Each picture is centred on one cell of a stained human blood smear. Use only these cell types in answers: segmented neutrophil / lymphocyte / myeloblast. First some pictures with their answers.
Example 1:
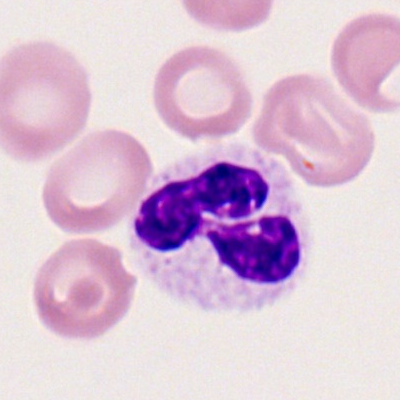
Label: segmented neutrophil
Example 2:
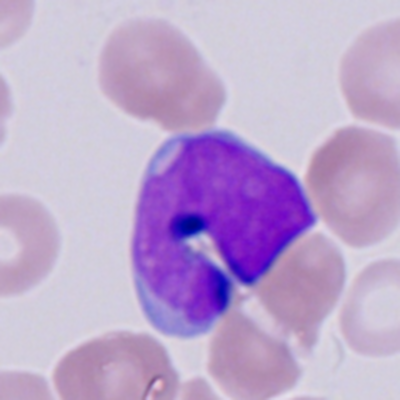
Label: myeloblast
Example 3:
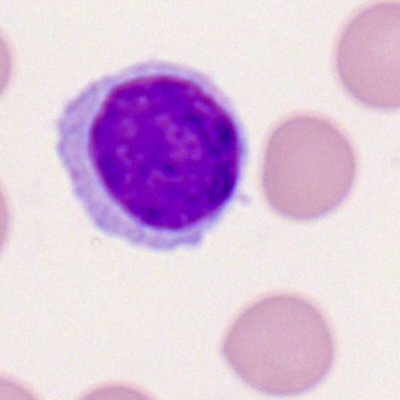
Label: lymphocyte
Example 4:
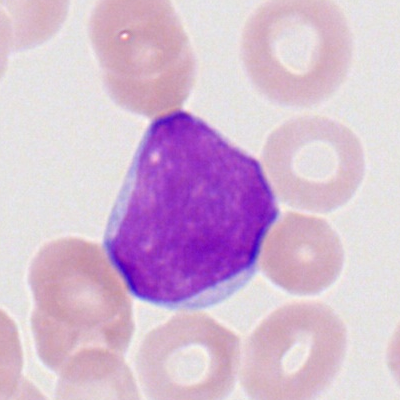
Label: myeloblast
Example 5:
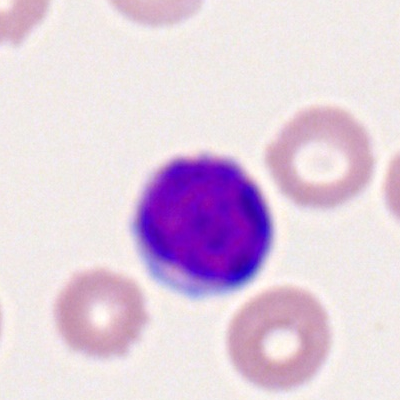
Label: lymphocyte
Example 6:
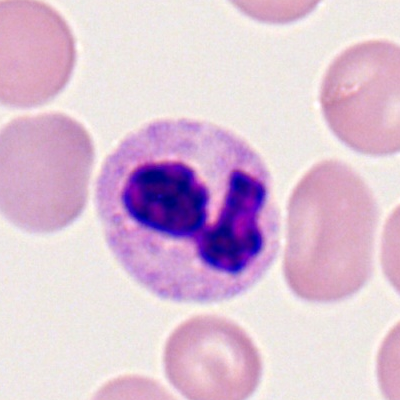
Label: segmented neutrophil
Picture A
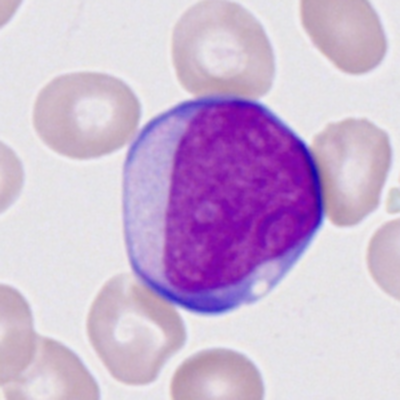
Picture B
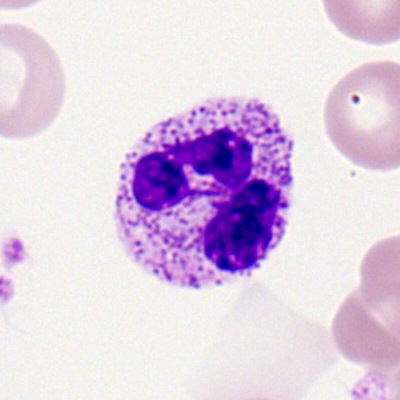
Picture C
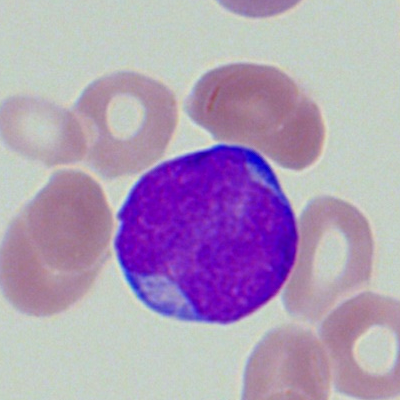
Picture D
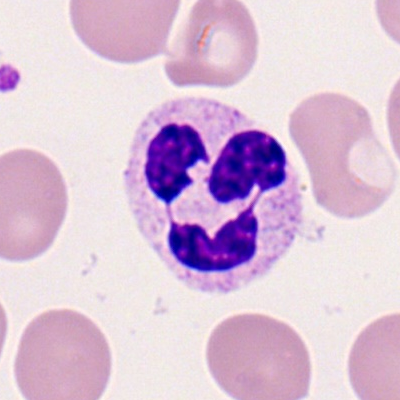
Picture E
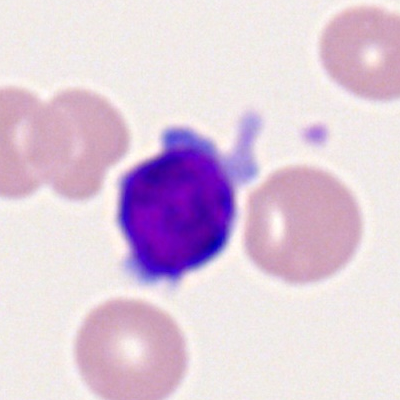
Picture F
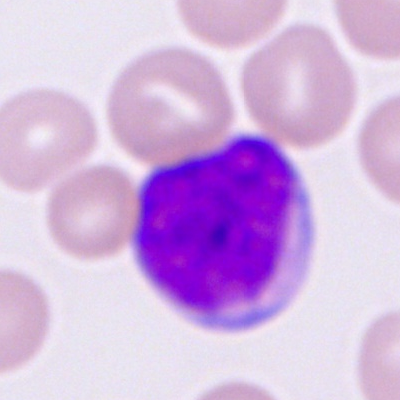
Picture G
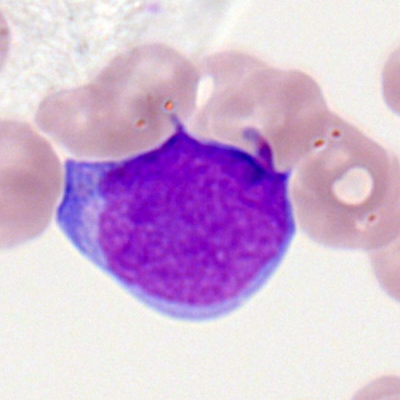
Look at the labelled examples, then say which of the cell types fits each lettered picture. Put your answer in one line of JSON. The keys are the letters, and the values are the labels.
{"A": "myeloblast", "B": "segmented neutrophil", "C": "myeloblast", "D": "segmented neutrophil", "E": "lymphocyte", "F": "myeloblast", "G": "myeloblast"}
